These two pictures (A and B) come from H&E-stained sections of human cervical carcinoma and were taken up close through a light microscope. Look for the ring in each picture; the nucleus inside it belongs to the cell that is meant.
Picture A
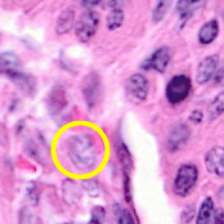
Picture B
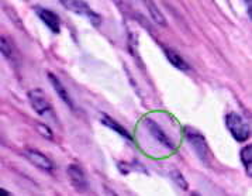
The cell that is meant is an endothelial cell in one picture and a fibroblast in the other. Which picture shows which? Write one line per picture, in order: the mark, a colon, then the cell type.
A: endothelial cell
B: fibroblast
